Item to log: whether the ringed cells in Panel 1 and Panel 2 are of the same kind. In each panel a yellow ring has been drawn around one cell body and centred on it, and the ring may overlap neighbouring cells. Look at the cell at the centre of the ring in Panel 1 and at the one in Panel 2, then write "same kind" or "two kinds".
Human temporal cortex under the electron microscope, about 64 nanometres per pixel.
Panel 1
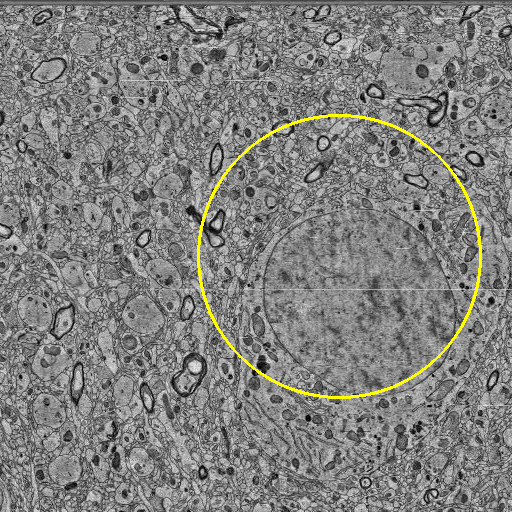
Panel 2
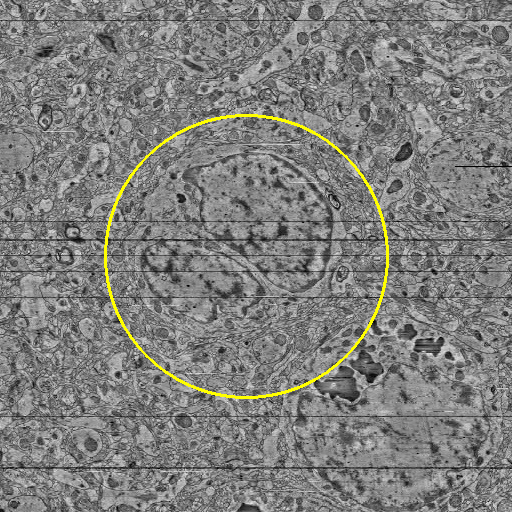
two kinds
